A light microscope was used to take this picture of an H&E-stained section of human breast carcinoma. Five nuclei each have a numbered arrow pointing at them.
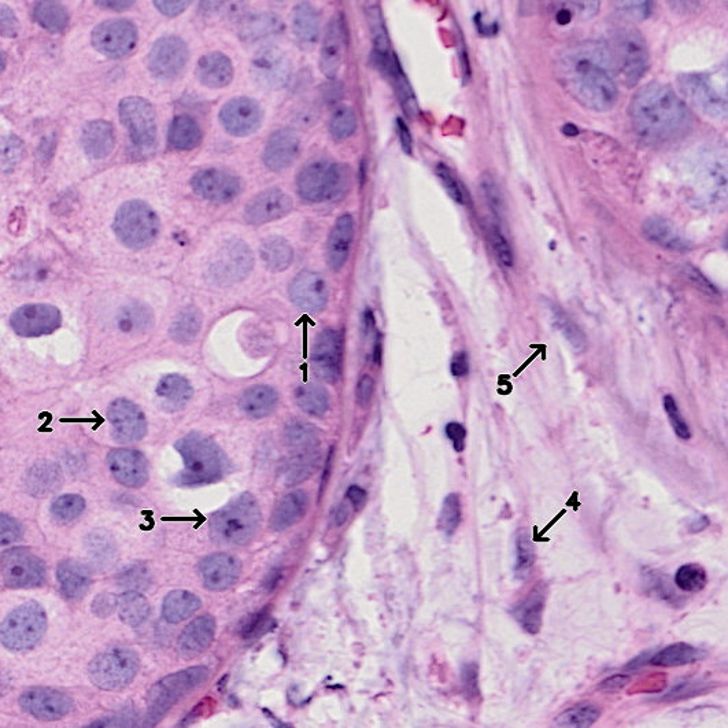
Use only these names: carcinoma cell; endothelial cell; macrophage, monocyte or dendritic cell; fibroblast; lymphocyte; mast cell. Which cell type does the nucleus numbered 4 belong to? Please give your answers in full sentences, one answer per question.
The correct label for cell 4 is a fibroblast.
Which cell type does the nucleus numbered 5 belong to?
The cell with the number 5 is a fibroblast.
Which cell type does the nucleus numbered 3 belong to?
The numeral 3 marks a carcinoma cell in this section.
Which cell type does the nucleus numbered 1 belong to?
Cell 1 in the field of view is a carcinoma cell.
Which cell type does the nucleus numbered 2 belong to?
Cell 2 should be recorded as a carcinoma cell.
